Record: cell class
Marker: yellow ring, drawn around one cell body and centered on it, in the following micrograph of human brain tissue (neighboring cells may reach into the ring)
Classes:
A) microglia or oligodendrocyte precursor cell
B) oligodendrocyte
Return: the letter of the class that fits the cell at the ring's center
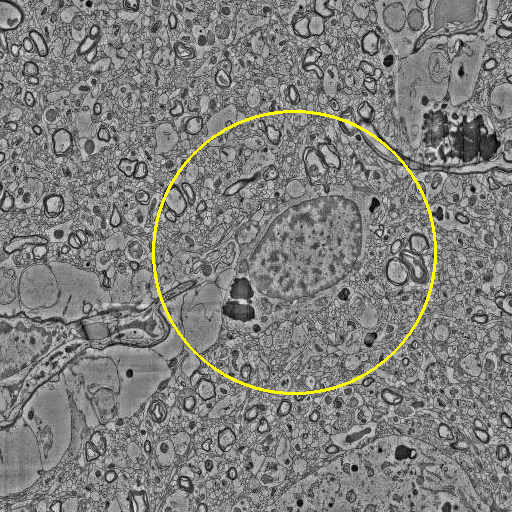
B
